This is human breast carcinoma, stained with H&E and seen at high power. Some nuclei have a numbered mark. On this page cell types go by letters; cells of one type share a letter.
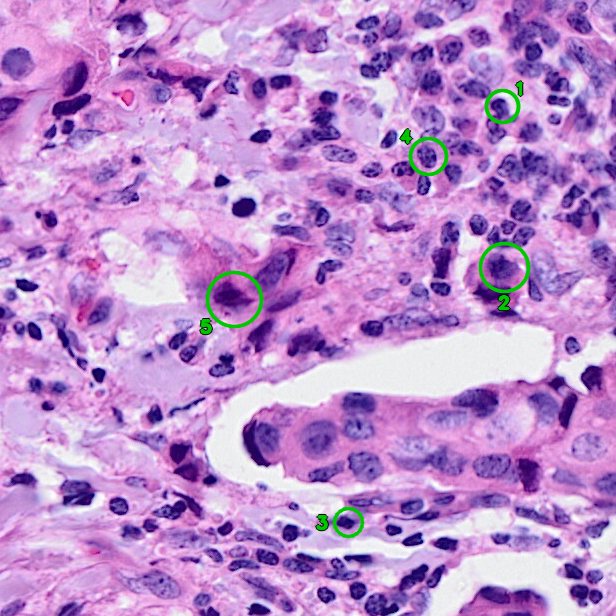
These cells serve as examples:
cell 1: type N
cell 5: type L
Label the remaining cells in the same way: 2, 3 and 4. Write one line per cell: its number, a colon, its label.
2: type L
3: type N
4: type N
